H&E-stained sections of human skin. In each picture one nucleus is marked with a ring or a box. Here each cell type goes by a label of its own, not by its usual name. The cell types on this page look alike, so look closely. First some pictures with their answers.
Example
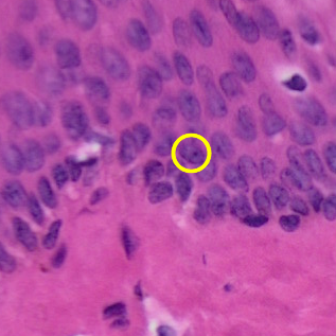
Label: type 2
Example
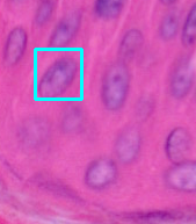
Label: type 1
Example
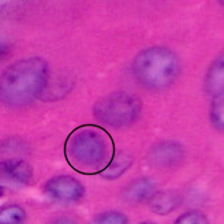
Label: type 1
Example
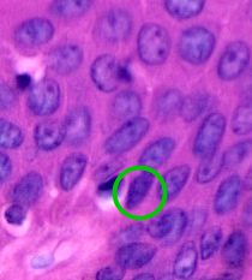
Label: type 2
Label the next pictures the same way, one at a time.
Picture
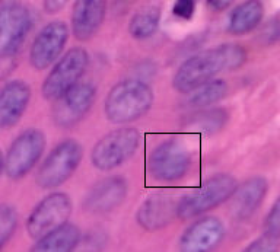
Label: type 2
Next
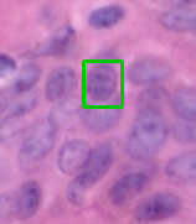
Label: type 2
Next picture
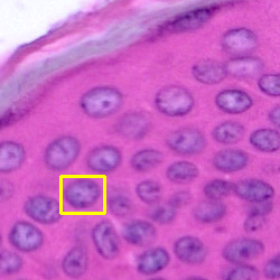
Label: type 1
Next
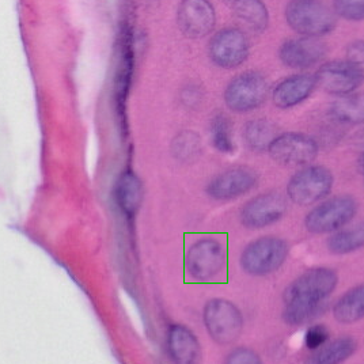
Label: type 1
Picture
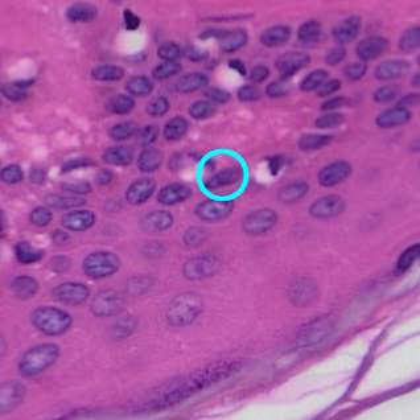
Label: type 2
